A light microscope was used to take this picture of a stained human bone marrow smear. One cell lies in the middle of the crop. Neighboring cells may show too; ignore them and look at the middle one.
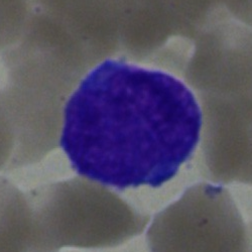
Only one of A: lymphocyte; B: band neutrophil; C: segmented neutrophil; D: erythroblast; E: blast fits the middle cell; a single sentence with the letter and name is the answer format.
What sits in the middle of the crop is a blast, and option E is correct.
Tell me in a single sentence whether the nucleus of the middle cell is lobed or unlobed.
Have a look at the nucleus, which is one compact mass, round, oval or kidney-shaped.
